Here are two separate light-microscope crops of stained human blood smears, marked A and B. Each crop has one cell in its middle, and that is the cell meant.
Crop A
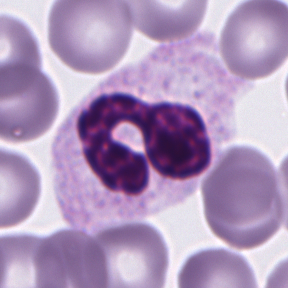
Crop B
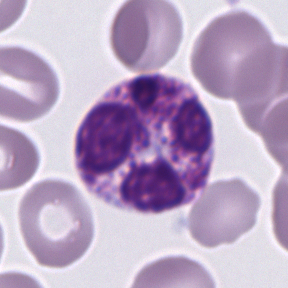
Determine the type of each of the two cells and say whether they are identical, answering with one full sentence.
No, the middle of crop A shows a segmented neutrophil, and the middle of crop B shows a basophil.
